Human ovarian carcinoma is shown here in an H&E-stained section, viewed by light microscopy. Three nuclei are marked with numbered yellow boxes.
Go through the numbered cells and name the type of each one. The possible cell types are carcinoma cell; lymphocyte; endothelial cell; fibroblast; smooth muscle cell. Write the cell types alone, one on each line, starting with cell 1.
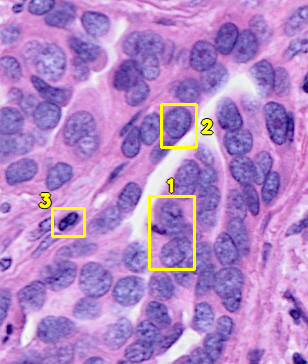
carcinoma cell
carcinoma cell
lymphocyte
